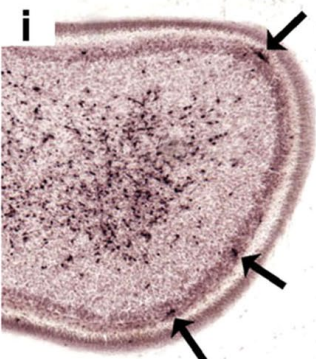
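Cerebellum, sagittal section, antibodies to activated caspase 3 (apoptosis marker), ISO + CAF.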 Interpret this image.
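The surface of the folium is edged by thin layered bands, and inside them lies a broad pale core with a fine fibrous texture. The dark-stained cells are small and compact, and they crowd densely in the middle of the core, thinning out toward the edges. A few dark cells also sit singly in a row along the band near the folium's edge, where the Purkinje cells lie.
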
